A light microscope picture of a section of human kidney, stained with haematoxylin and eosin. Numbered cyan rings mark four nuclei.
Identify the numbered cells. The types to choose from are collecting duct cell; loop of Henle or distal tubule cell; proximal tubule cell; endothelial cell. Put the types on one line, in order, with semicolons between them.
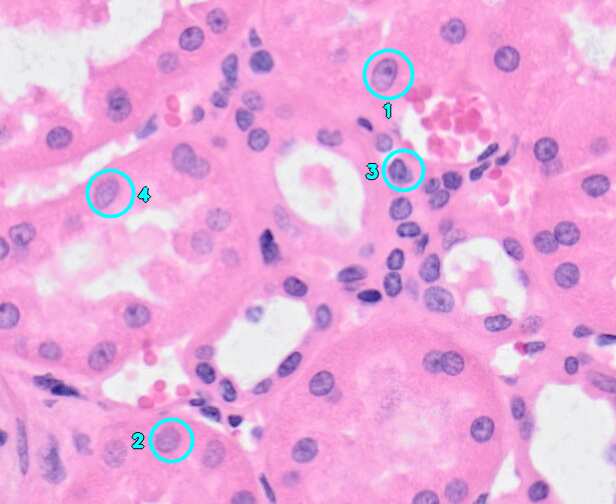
proximal tubule cell; proximal tubule cell; collecting duct cell; proximal tubule cell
